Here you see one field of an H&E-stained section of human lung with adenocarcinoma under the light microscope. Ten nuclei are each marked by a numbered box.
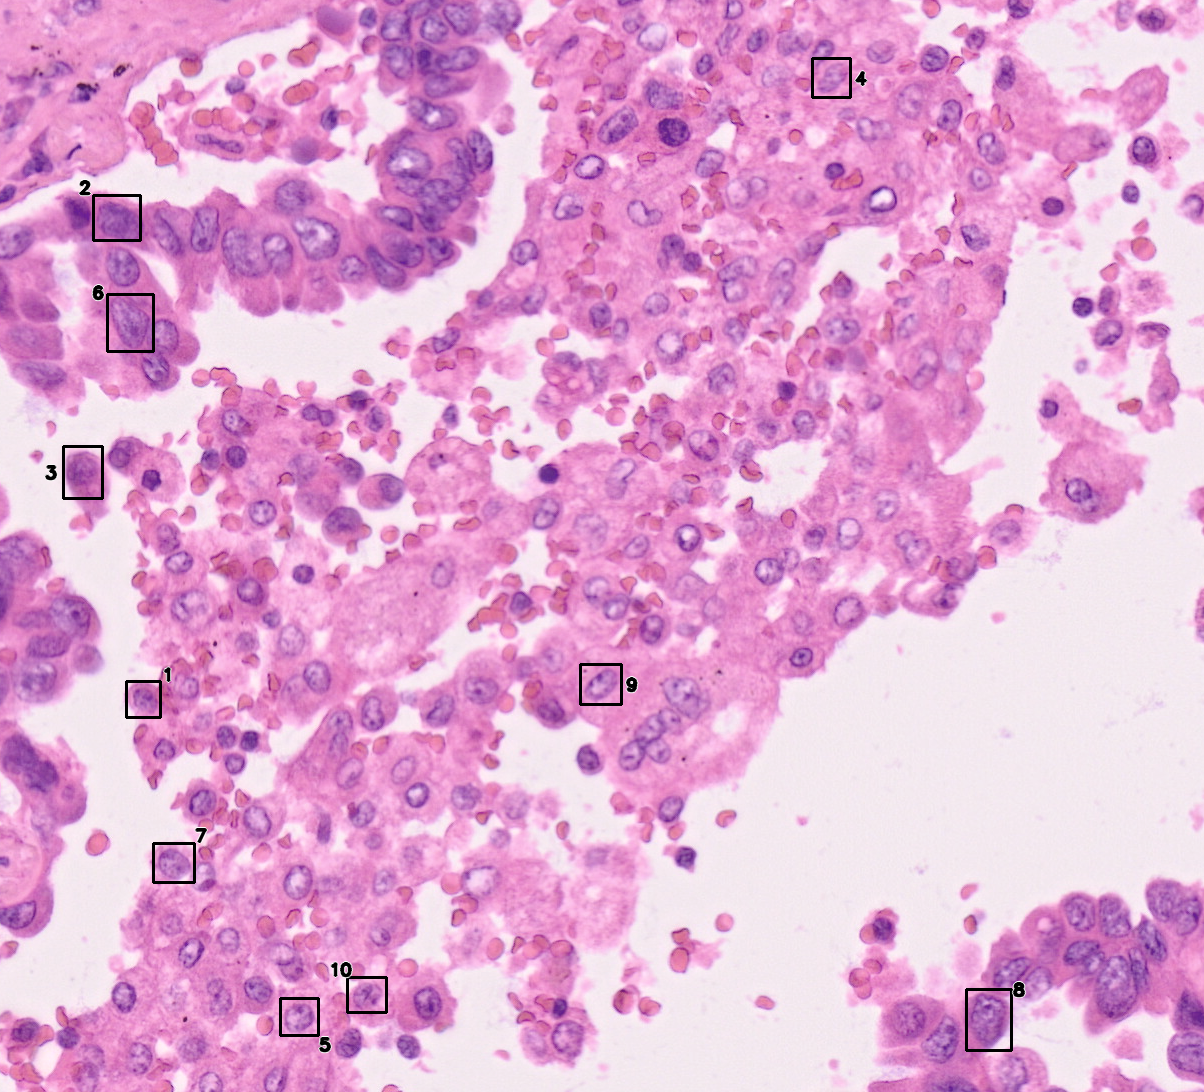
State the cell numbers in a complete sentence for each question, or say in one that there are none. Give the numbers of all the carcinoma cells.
The cells given the numbers 2, 3, 6 and 8 are carcinoma cells.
